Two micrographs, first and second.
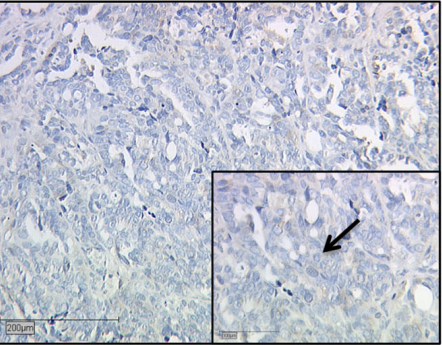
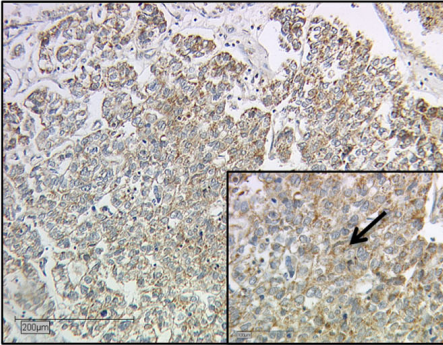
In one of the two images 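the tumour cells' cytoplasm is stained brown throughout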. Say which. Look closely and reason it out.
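First image: tumour cells are blue with hardly any brown in the cytoplasm. Second image: the cytoplasm of nearly all tumour cells is brown. So: the second image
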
